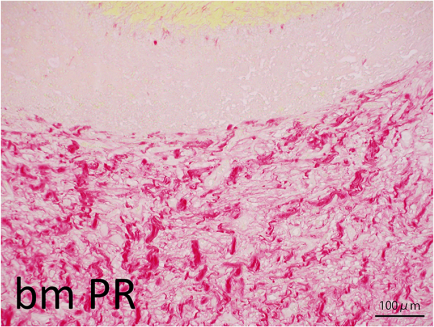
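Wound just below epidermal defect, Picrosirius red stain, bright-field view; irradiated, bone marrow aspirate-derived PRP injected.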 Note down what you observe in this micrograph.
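Beneath a pale, faintly yellow and pink upper layer lies a band of connective tissue in which wavy, thick strands stain deep red. The red strands are irregular and elongated, running in many directions to form a loose meshwork, with paler pink material between them.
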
